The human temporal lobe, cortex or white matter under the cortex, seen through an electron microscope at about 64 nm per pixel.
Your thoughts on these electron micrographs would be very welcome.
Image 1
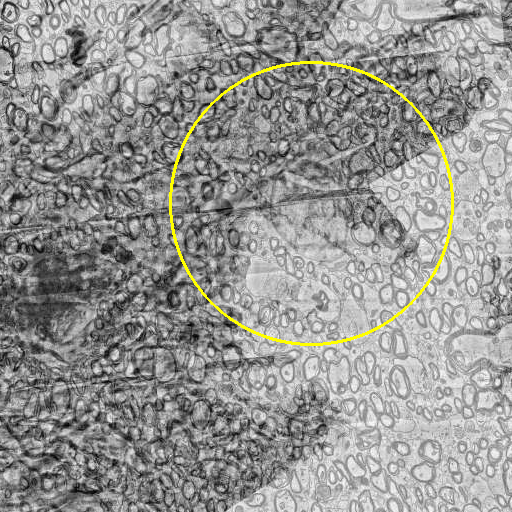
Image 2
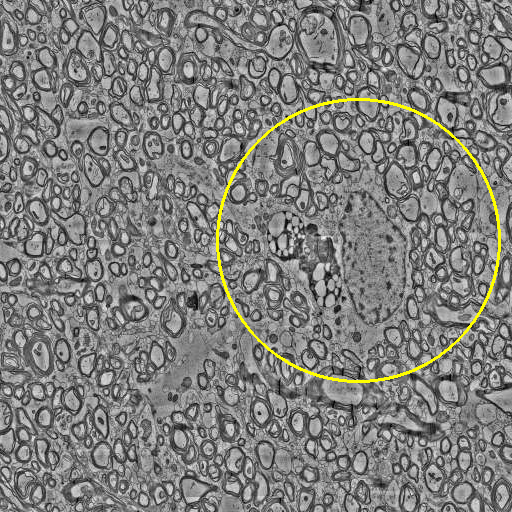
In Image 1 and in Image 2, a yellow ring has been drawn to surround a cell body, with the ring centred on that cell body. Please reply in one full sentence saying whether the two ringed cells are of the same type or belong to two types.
The ringed cells in Image 1 and Image 2 belong to two types.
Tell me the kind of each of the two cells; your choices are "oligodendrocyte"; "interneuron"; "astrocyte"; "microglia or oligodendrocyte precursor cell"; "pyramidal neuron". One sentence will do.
The ringed cell is an oligodendrocyte in the first picture and an astrocyte in the second picture.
